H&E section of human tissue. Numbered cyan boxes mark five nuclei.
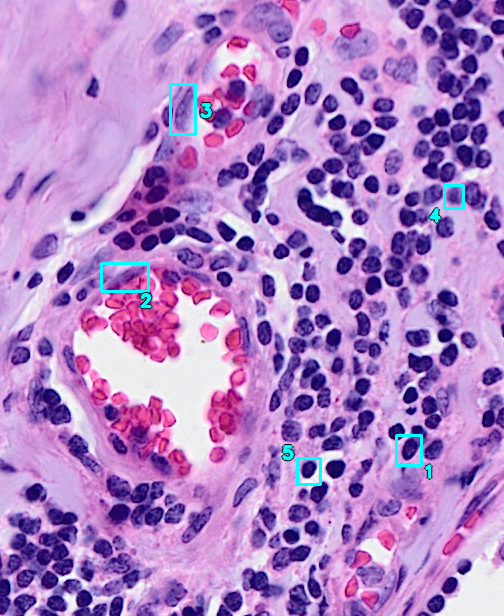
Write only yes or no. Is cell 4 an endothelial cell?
no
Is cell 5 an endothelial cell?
no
